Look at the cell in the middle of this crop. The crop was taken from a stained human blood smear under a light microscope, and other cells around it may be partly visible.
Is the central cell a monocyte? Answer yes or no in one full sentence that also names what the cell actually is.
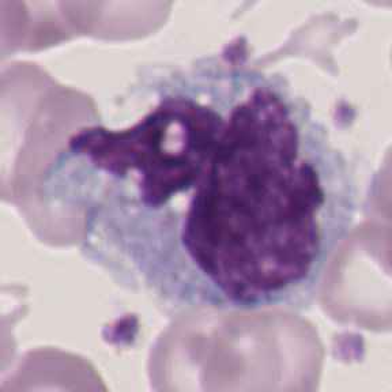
Yes, the cell at the crop's center is a monocyte.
